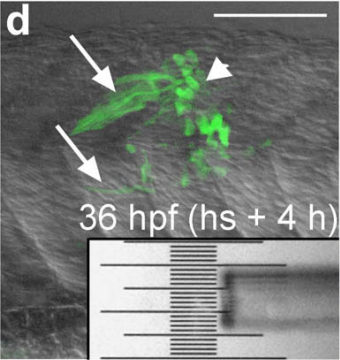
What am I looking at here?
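Several labelled fibers are long and slender, tapering at their ends and running in parallel, obliquely across the field. Beside them lies a cluster of smaller, rounder green cells of varied size, giving a patchy, irregular appearance to the labelled spot. The rest of the trunk around this patch is unlabelled.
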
